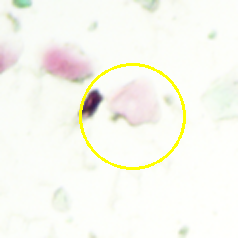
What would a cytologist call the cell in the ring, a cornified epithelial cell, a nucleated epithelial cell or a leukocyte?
A cytologist would call it a cornified epithelial cell.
